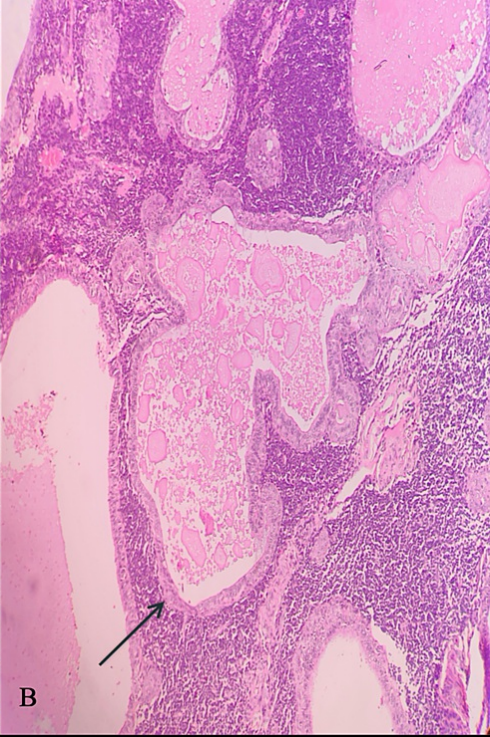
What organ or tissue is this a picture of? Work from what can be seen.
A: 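Dense lymphoid stroma. Sheets of small, dark, closely packed round nuclei fill the tissue between the cysts.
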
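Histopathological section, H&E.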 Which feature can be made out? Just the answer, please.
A: Cystic structures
